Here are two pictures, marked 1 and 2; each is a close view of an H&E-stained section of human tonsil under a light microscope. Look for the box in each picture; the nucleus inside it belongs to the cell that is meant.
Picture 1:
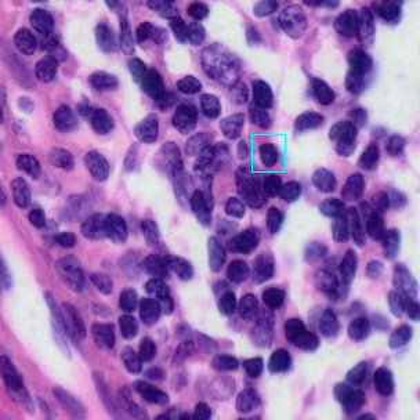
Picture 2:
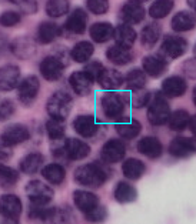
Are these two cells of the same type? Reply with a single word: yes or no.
yes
